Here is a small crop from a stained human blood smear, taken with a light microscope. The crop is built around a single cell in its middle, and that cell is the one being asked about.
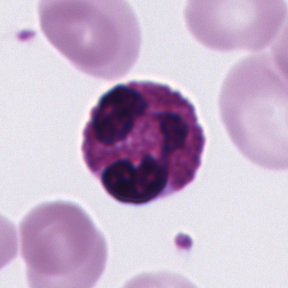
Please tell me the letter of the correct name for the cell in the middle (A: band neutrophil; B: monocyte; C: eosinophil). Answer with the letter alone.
C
